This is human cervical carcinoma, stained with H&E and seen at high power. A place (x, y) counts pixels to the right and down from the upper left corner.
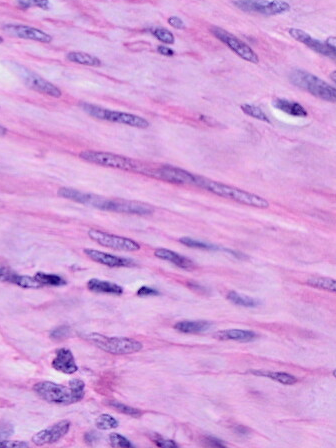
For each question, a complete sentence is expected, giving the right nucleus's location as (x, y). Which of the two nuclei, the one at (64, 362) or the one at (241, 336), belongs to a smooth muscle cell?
At (241, 336) lies the nucleus that belongs to a smooth muscle cell.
